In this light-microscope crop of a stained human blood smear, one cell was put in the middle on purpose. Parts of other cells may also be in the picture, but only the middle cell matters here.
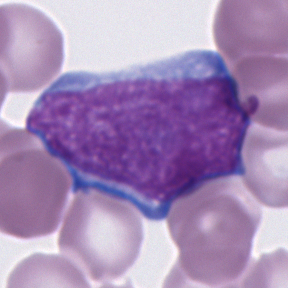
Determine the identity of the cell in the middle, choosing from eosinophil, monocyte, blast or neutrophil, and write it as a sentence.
Of the cells in this crop, the central one is a blast.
